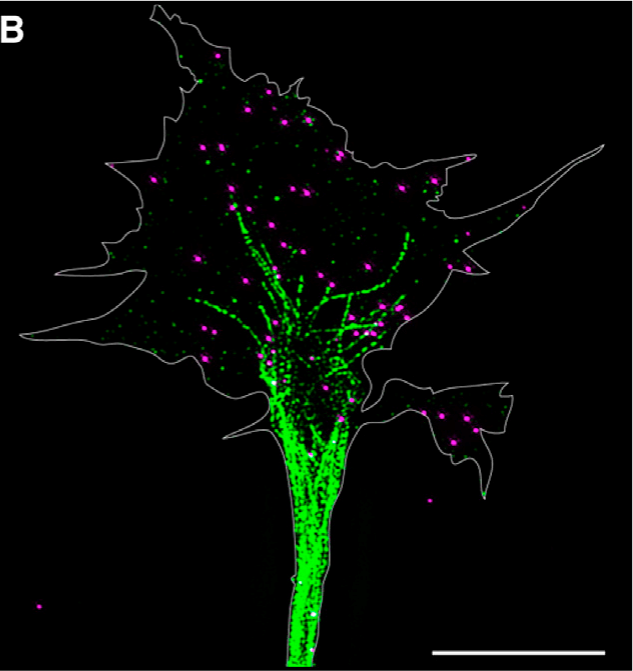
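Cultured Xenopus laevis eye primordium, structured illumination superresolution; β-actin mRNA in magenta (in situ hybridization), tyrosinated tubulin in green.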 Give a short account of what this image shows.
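This is the flattened tip of a single nerve process, an axonal growth cone, at the end of a thick shaft entering from below. The shaft is packed with parallel green filaments that splay apart as they enter a broad, fan-shaped expansion. The outline of the expansion is irregular, with several long, thin spiky extensions reaching outward. Magenta dots are scattered through the expansion and into its side extensions, some lying on or beside the green filaments and others in areas free of them. The shaft itself carries few magenta dots compared with the spread-out tip.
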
